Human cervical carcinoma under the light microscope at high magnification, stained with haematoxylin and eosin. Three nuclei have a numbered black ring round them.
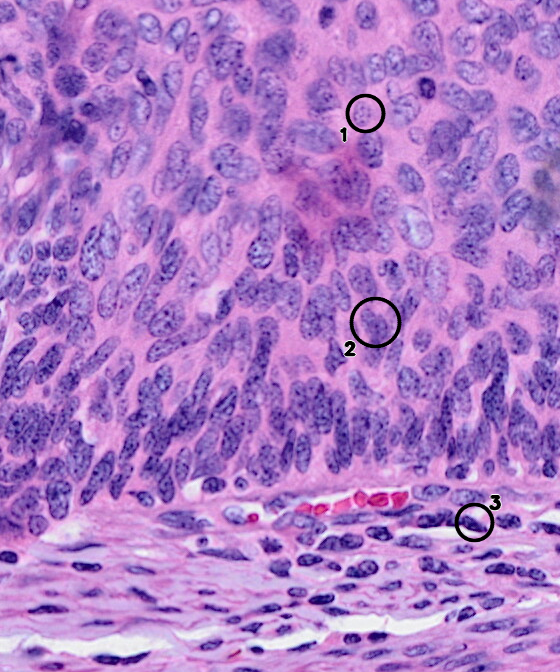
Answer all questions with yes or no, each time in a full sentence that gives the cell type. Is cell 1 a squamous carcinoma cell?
Yes, the number 1 belongs to a squamous carcinoma cell.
